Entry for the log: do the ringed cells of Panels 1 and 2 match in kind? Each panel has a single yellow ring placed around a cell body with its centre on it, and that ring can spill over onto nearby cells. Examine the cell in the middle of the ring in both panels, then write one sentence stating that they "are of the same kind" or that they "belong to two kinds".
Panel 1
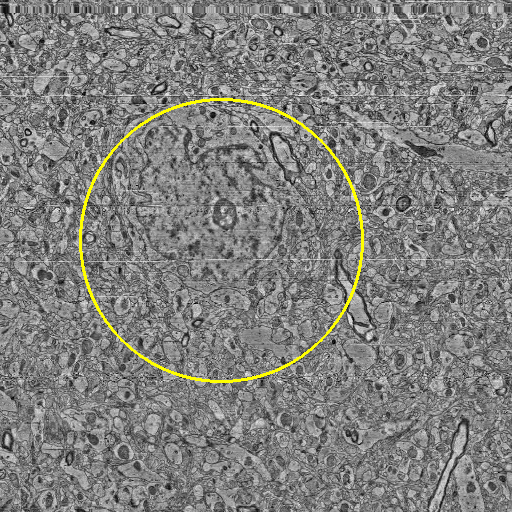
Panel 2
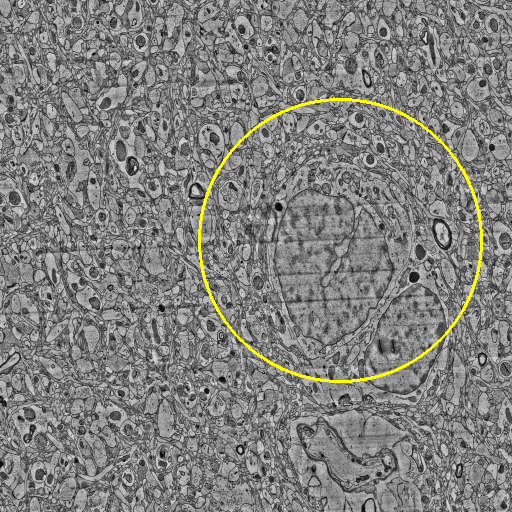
The centre cell of Panel 1's ring and that of Panel 2's ring are of the same kind.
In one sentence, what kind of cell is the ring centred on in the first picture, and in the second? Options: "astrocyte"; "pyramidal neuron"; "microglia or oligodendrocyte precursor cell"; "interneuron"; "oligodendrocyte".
The first and the second cell are each an interneuron.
